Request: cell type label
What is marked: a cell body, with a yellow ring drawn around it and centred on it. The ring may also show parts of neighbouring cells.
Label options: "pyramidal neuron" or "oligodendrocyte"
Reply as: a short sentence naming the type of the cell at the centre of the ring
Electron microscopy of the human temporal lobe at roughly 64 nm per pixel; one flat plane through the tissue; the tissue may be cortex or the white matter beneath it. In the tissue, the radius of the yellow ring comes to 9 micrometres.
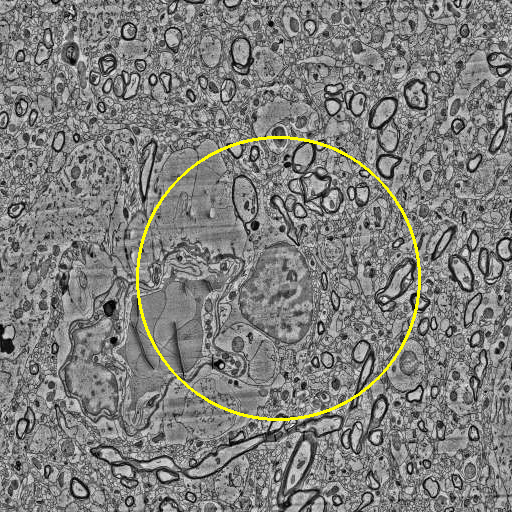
The marked cell body is that of an oligodendrocyte.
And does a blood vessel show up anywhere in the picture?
Yes, a blood vessel shows in the picture.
